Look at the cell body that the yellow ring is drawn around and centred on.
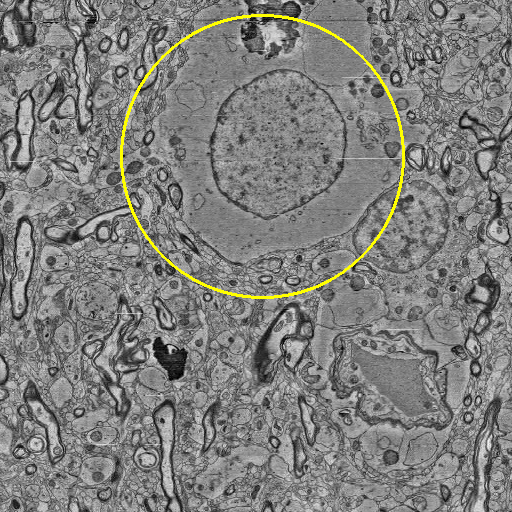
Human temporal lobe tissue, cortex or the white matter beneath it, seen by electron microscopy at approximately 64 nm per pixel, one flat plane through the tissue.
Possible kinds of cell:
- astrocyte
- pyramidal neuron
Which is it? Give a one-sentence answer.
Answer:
The centred cell body is that of an astrocyte.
